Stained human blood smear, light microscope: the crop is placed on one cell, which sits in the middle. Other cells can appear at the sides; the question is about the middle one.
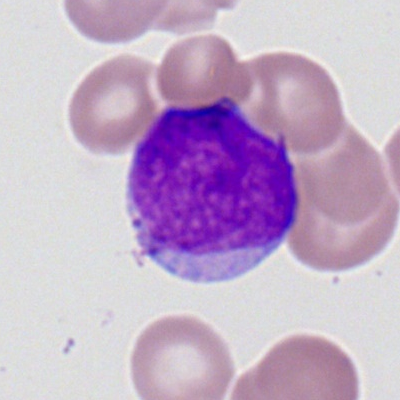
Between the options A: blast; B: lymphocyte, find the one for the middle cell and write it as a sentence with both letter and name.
The middle cell of the crop is a blast; accordingly, option A is correct.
